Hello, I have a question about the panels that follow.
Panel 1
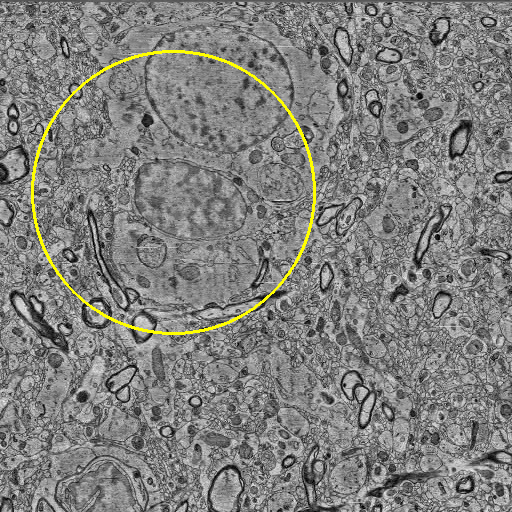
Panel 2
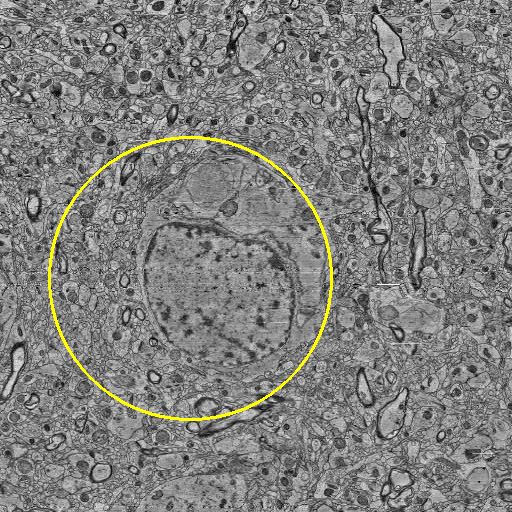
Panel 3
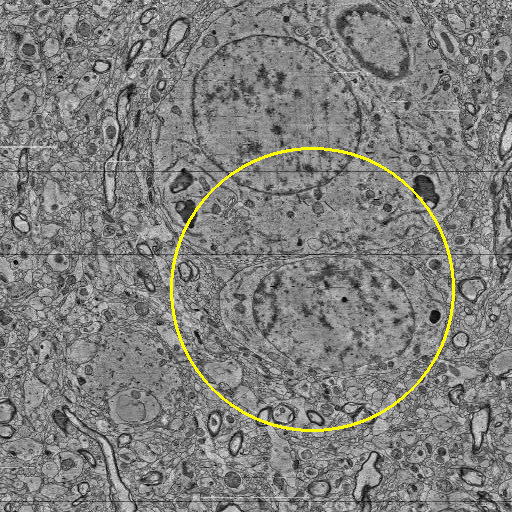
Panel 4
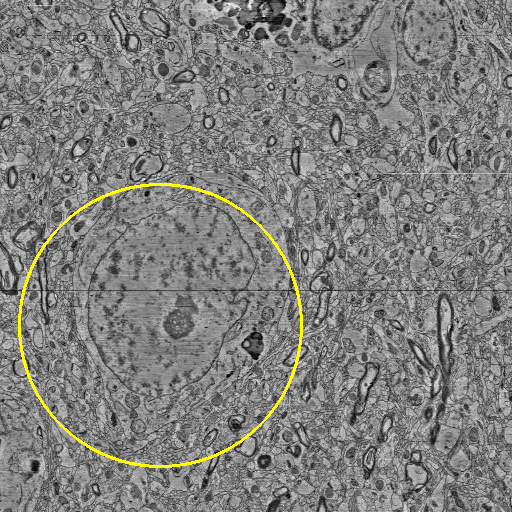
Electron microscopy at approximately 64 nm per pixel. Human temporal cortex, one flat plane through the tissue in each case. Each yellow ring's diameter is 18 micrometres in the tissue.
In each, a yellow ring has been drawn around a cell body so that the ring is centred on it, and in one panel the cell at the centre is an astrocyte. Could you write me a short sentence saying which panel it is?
It is Panel 2.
